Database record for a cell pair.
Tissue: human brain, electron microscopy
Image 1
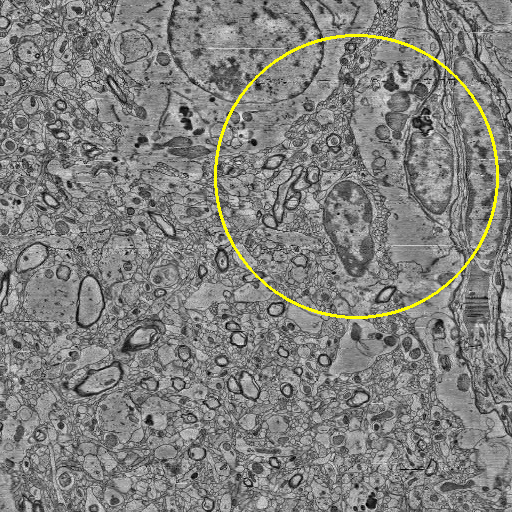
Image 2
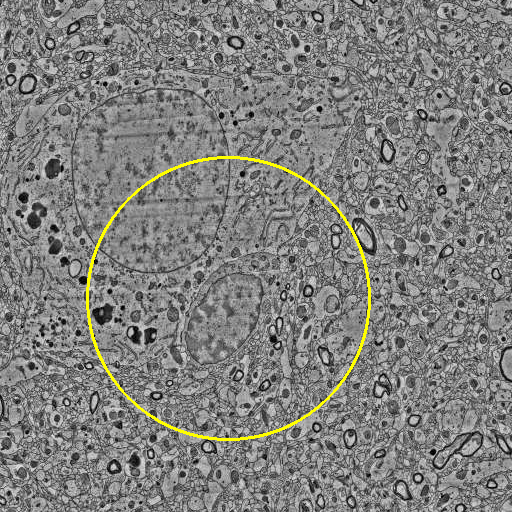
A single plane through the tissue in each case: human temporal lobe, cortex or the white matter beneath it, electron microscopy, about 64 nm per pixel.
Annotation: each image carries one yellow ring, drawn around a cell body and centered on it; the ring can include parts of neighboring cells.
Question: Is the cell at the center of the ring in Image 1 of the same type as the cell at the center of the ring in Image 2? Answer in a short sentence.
No, the cells are of two types.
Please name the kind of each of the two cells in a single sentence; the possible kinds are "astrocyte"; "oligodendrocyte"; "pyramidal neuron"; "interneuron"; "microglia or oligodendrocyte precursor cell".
In the first picture the ring is centred on a microglial cell or oligodendrocyte precursor cell, and in the second on an oligodendrocyte.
